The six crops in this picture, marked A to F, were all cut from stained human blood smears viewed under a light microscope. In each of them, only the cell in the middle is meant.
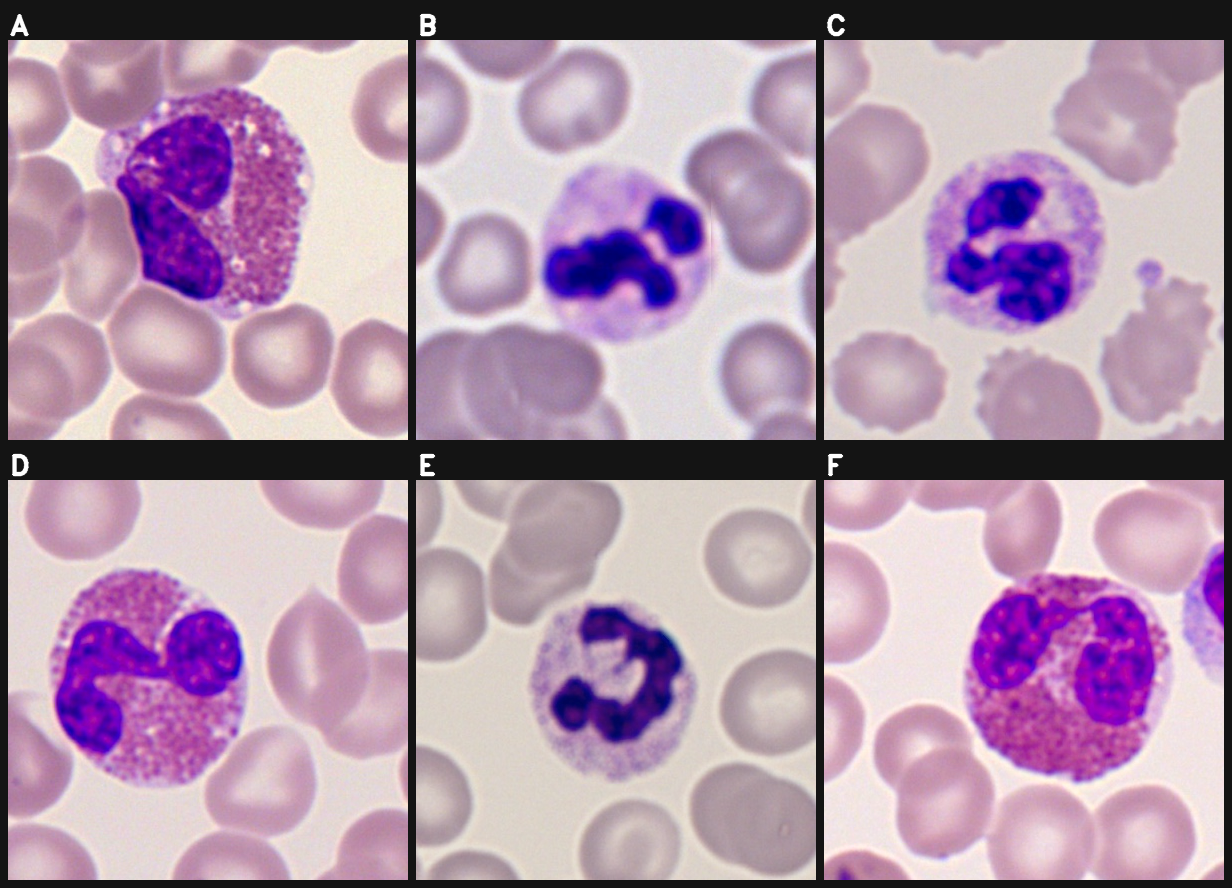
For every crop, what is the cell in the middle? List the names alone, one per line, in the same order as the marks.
eosinophil
neutrophil
neutrophil
eosinophil
neutrophil
eosinophil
